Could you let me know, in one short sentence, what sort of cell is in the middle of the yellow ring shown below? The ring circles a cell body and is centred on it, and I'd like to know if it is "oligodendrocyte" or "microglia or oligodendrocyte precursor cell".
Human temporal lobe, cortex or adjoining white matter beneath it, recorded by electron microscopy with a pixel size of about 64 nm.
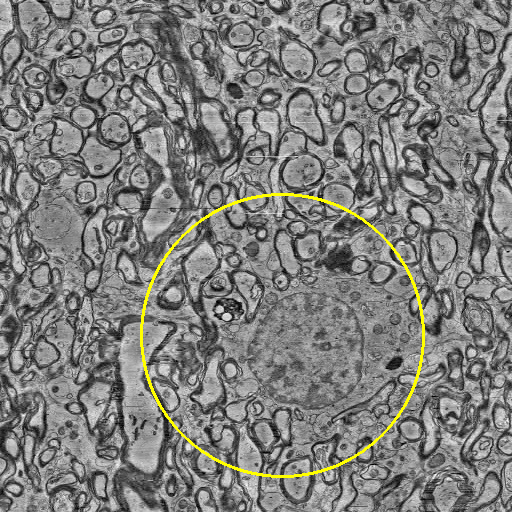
The ring circles the cell body of an oligodendrocyte.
